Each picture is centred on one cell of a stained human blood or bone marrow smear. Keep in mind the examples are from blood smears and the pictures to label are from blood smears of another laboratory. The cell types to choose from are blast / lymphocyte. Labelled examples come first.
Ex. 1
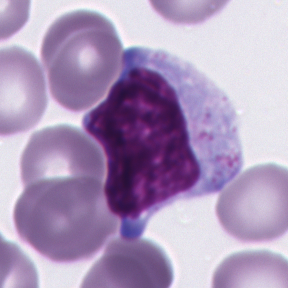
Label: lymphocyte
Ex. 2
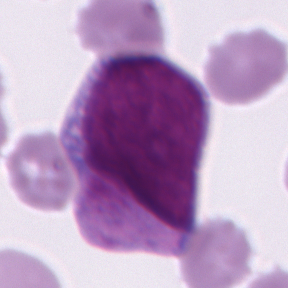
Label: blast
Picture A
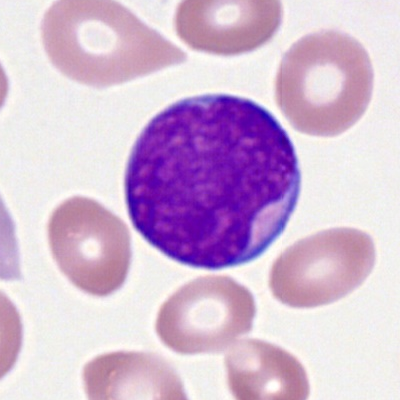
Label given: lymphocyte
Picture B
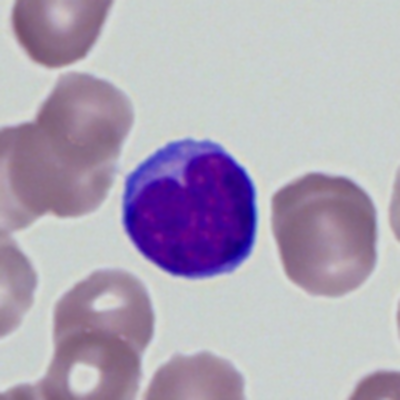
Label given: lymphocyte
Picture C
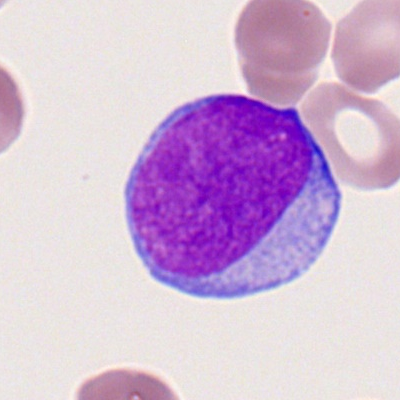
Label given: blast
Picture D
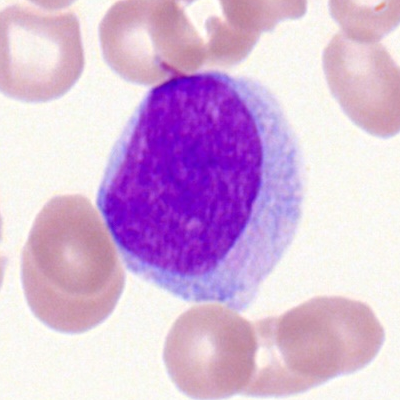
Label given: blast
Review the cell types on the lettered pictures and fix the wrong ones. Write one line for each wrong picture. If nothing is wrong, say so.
A should be blast, not lymphocyte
